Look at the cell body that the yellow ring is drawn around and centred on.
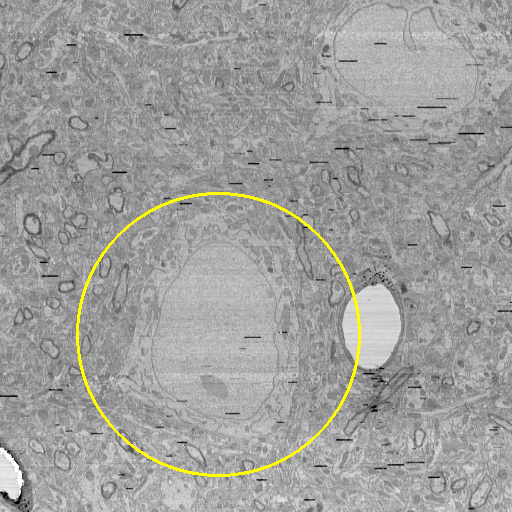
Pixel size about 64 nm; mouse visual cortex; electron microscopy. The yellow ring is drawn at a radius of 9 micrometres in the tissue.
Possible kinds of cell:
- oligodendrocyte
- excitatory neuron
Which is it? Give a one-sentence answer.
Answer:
The centred cell body is that of an excitatory neuron.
